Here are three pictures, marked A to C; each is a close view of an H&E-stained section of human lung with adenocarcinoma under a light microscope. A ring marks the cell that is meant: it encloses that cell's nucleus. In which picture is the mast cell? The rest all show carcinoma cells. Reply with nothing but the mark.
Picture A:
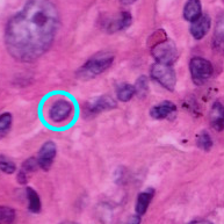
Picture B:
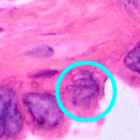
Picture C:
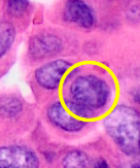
A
